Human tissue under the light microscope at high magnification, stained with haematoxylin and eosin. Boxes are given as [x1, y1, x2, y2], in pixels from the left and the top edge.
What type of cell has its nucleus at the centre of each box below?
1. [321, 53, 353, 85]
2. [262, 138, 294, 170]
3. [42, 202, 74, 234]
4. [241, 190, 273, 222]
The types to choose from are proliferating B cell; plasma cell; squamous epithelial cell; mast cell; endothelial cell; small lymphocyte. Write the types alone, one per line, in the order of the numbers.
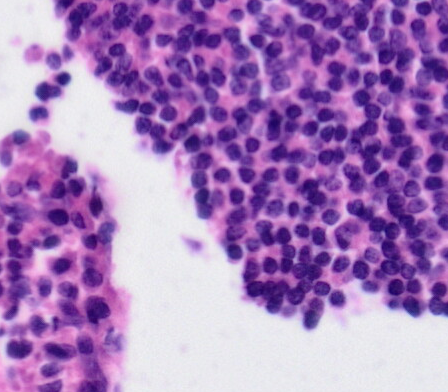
small lymphocyte
small lymphocyte
plasma cell
small lymphocyte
